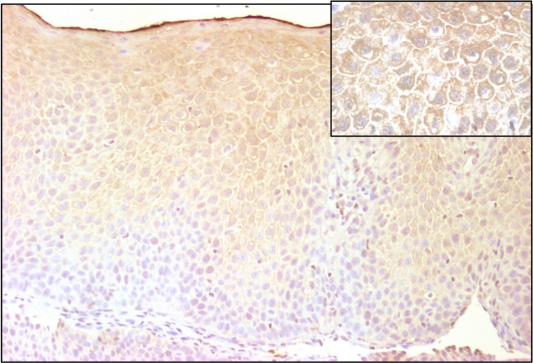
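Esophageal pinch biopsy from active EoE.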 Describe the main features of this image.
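The basal cells are small and tightly packed with blue nuclei and little or no brown stain, and connective tissue papillae rise between them. Above them the cells become larger and polygonal and take up a light brown stain that grows stronger toward the surface. A thin dark brown line runs along the luminal surface.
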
